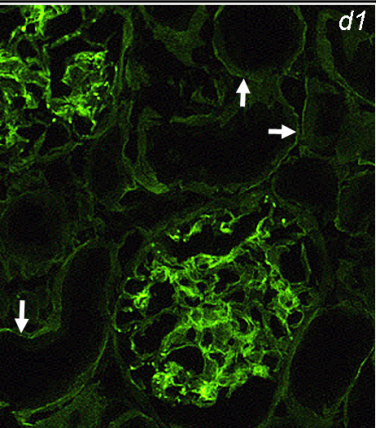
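Within each glomerular tuft the green stain outlines a tangle of looped capillary walls brightly. Around the tufts, many rounded tubule profiles appear dark inside, each bordered by a thin, fainter green line that follows the outer contour of the tubule, where its basement membrane lies; adjacent tubules share these thin outlines in the interstitium. The tubular epithelium and lumens themselves show little stain, so the linear membranes stand out against a dark background.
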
